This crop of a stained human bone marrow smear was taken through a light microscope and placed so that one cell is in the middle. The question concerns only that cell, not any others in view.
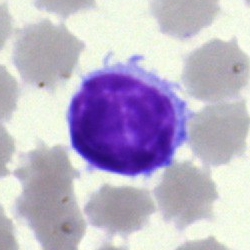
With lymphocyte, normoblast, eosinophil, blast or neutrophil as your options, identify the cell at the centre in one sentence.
The cell in the exact centre of the crop is a lymphocyte.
